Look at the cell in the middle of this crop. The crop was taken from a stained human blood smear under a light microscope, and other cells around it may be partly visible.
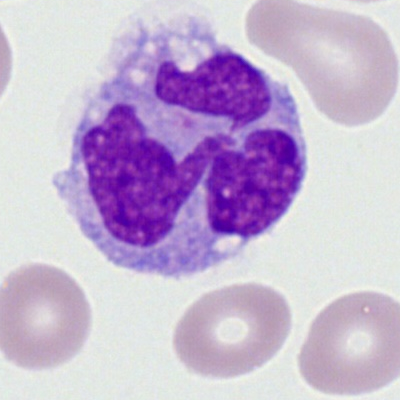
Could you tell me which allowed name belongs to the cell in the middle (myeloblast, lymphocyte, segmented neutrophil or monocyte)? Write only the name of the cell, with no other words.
monocyte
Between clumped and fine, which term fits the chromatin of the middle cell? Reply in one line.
The nucleus shows chromatin that is coarsely clumped.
